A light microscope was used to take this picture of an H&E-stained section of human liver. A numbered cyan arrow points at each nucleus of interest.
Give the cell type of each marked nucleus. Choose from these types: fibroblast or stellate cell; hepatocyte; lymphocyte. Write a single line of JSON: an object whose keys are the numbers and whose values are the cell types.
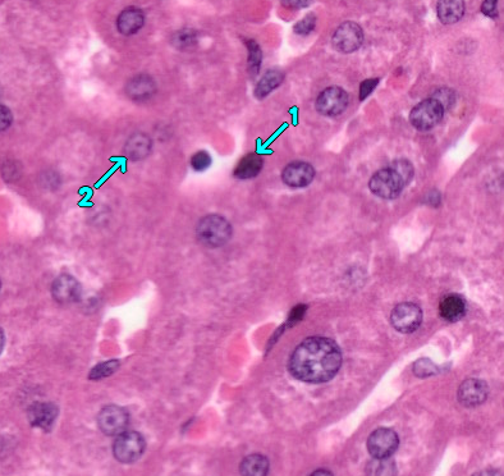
{"1": "fibroblast or stellate cell", "2": "hepatocyte"}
